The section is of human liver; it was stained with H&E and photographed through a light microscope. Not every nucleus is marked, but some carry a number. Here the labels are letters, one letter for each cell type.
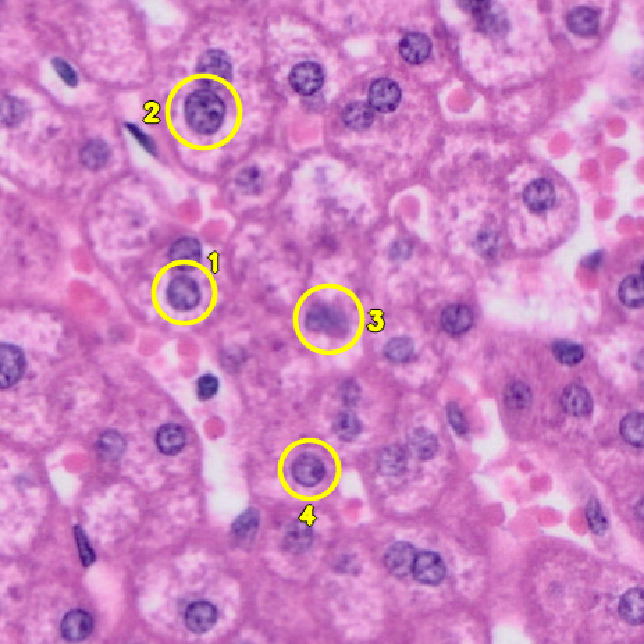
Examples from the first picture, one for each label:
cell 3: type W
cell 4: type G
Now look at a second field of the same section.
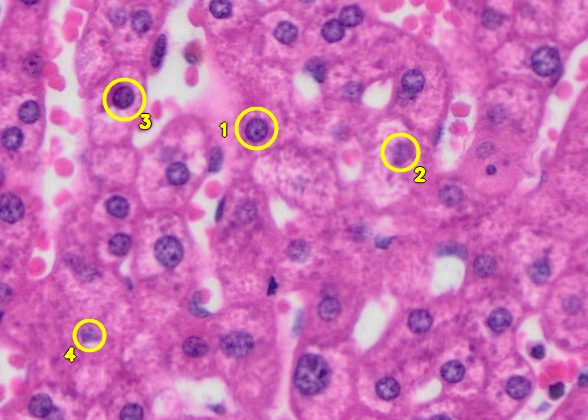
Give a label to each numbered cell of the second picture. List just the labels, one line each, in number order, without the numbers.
type G
type G
type G
type W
